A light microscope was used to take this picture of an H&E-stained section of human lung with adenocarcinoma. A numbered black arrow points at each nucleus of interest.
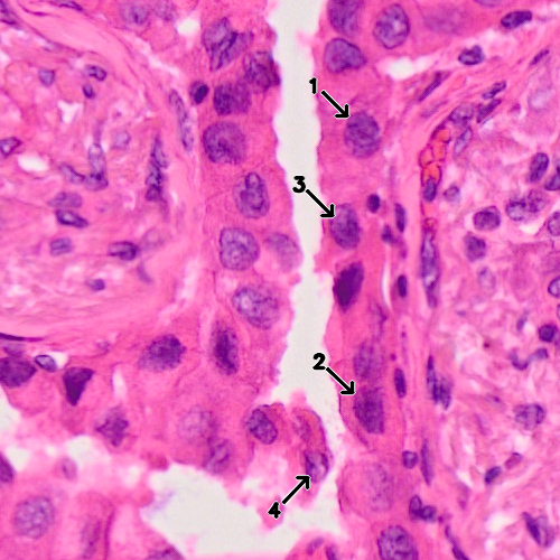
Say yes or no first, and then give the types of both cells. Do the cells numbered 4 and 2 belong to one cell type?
No, unlike cell 2, which is a carcinoma cell, cell 4 is a macrophage or monocyte.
